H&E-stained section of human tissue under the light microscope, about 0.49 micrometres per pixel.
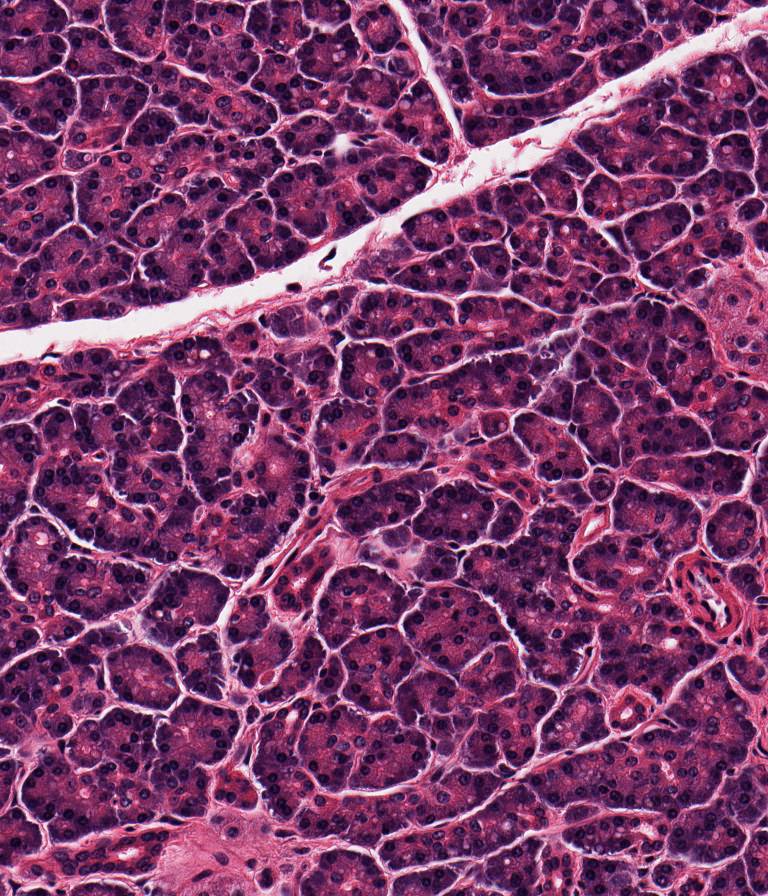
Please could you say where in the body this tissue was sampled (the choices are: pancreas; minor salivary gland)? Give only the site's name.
pancreas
